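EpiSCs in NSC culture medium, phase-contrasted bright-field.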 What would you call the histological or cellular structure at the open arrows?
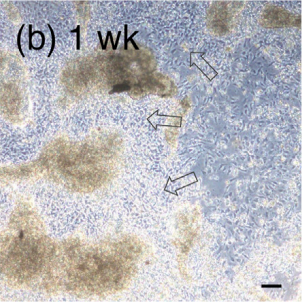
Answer: Outgrowths.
